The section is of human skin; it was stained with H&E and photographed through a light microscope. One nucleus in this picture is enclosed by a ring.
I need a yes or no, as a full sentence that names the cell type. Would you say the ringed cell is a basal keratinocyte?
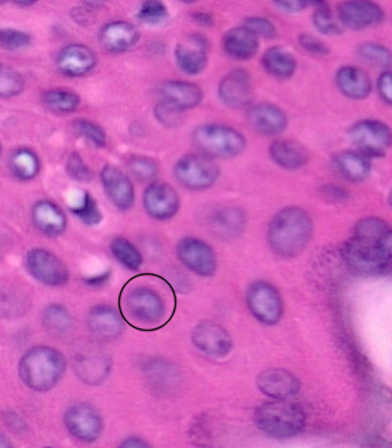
No, the ringed cell is reported as a suprabasal keratinocyte rather than a basal keratinocyte.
